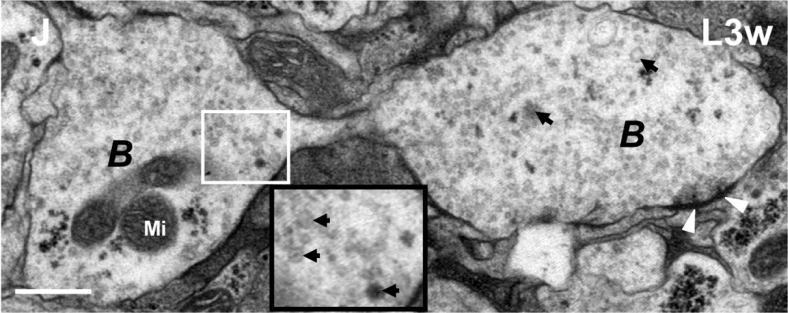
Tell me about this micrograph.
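This electron micrograph shows two large neurite profiles filled with small clear synaptic vesicles, joined by a narrow constriction. A few larger vesicles with dark dense cores are scattered among the clear vesicles. At the lower edge of the right profile, dark thickened membrane contacts mark synapses. Between the two profiles the furrow is narrow, and no microtubules are obvious in it.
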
